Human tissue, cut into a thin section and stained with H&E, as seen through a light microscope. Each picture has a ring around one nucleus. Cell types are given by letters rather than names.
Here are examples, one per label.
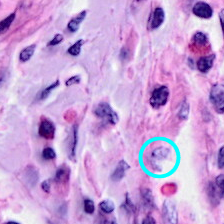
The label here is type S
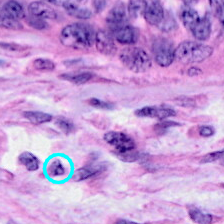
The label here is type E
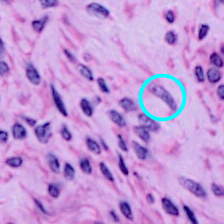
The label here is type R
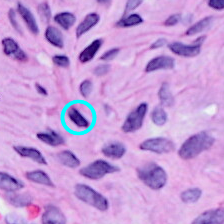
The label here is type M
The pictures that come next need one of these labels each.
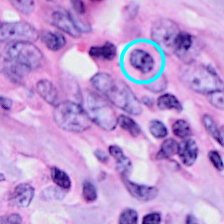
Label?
type E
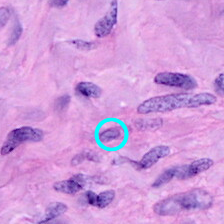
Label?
type R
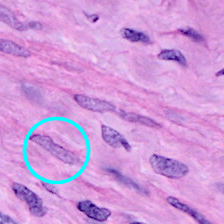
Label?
type R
